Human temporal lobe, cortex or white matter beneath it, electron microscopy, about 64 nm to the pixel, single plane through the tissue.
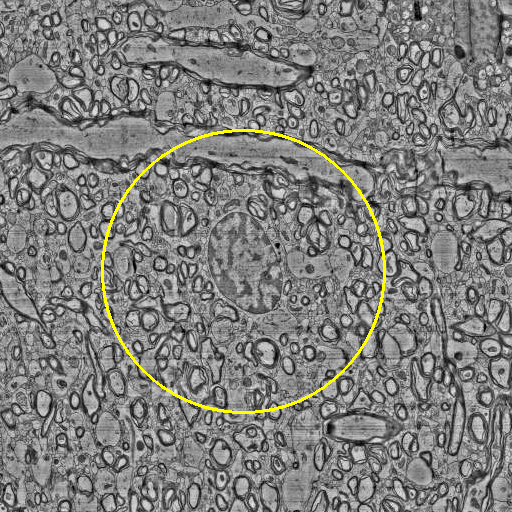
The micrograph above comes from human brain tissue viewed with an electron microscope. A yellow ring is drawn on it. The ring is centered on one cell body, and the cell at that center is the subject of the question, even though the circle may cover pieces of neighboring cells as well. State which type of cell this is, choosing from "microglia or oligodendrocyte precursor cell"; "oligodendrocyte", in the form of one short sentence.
The cell the ring is centered on is a microglial cell or oligodendrocyte precursor cell.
